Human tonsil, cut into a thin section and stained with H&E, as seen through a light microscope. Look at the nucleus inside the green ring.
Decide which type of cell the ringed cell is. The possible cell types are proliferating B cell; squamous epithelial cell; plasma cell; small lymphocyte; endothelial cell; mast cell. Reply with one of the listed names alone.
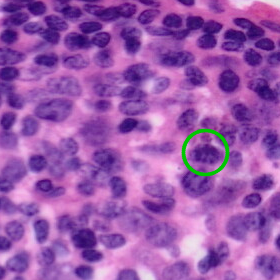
proliferating B cell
